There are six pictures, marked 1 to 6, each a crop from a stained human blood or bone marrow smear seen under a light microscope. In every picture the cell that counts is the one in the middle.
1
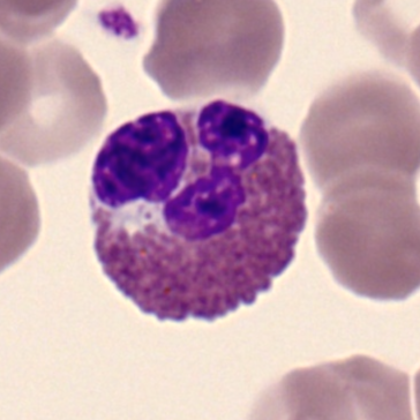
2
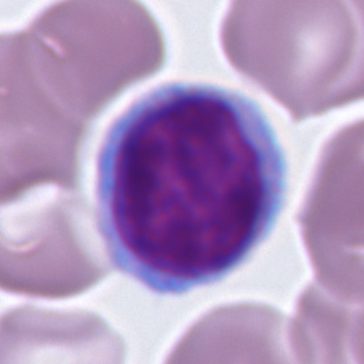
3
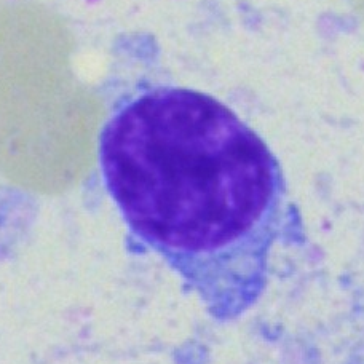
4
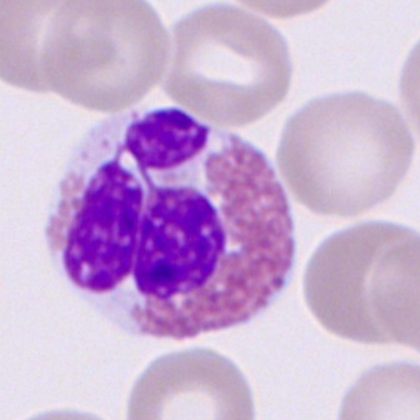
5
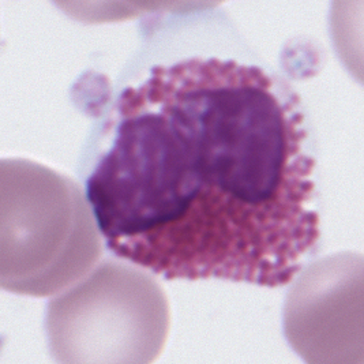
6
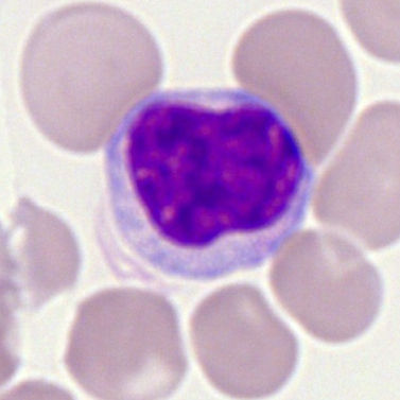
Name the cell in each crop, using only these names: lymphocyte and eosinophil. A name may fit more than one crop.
1: eosinophil
2: lymphocyte
3: lymphocyte
4: eosinophil
5: eosinophil
6: lymphocyte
